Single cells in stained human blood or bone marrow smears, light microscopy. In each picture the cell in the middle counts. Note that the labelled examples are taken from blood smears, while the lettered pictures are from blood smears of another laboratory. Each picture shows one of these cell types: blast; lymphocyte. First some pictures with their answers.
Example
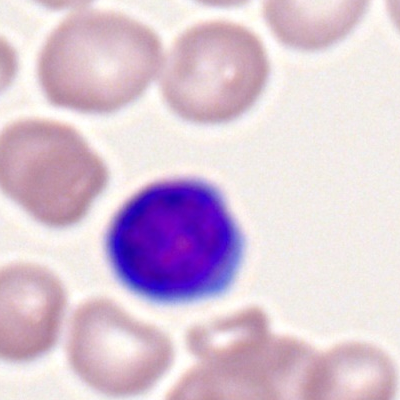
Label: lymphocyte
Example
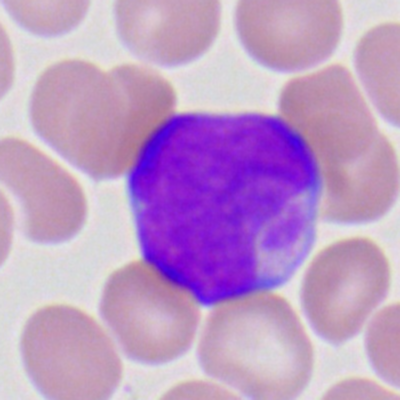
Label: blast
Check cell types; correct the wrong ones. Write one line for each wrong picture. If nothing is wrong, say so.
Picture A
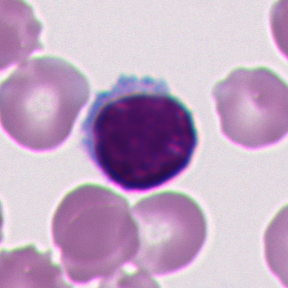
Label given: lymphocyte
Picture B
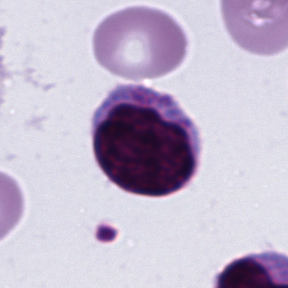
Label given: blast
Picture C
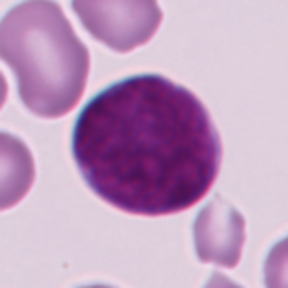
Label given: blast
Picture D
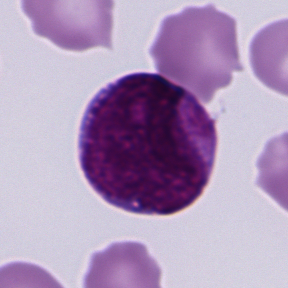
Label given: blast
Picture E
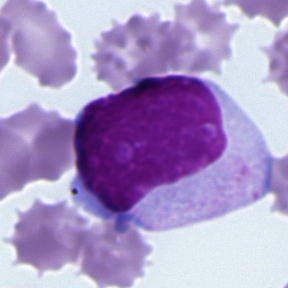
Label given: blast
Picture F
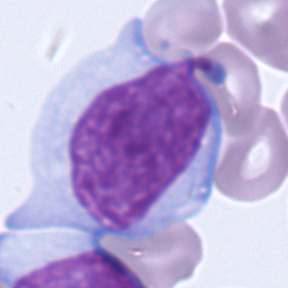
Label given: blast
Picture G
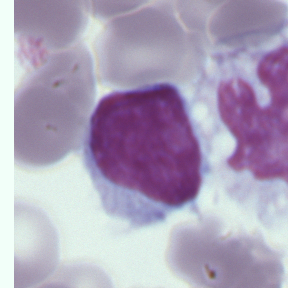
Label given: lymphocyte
B: not blast but lymphocyte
